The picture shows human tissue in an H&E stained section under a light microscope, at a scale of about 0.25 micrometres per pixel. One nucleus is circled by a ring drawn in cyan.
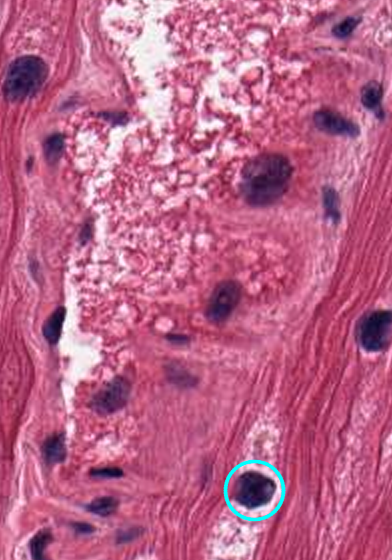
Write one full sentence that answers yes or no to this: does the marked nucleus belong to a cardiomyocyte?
Yes, the nucleus that carries the mark belongs to a cardiomyocyte.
